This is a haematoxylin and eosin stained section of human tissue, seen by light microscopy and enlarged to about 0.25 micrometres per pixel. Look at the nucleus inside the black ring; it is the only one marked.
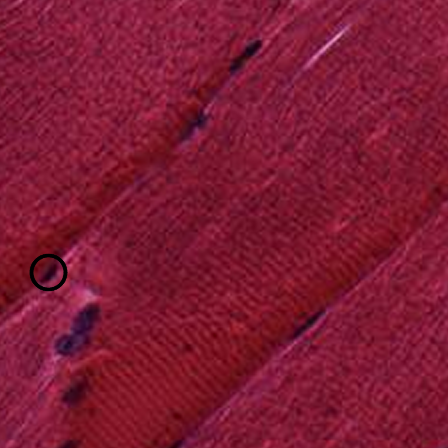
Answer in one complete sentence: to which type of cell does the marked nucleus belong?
The mark indicates the nucleus of a skeletal muscle fibre.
